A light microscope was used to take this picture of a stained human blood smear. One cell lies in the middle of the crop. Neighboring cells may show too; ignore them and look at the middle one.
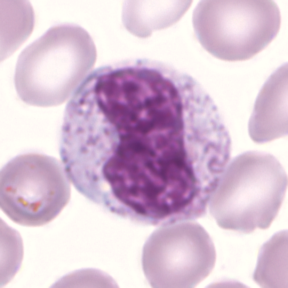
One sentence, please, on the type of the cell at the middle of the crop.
To answer, the cell in the center of the crop is a metamyelocyte.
